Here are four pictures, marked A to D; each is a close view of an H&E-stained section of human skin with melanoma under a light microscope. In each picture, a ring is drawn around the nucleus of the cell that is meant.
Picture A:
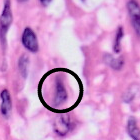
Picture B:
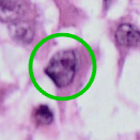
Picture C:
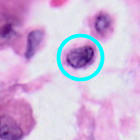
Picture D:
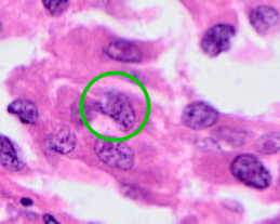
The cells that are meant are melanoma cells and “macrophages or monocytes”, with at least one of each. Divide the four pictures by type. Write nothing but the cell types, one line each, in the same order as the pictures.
macrophage or monocyte
melanoma cell
macrophage or monocyte
melanoma cell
